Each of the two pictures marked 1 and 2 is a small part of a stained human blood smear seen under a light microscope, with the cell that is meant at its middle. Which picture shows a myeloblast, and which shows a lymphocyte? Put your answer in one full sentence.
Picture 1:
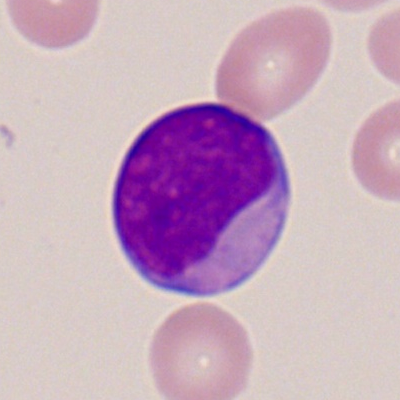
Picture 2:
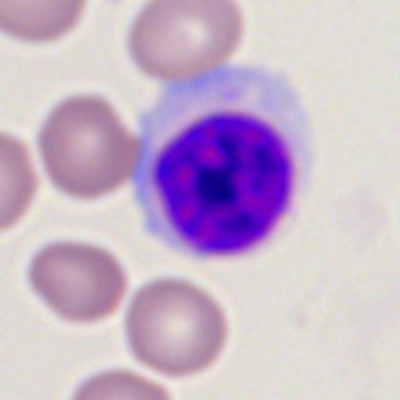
Picture 2 shows a lymphocyte, while picture 1 shows a myeloblast.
